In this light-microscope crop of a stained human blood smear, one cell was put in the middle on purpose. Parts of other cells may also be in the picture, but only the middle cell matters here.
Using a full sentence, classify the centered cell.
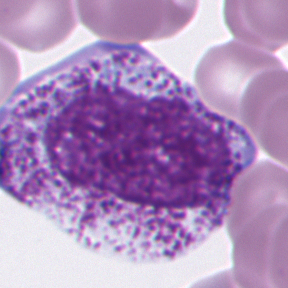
Whatever else lies nearby, the middle cell is a promyelocyte.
